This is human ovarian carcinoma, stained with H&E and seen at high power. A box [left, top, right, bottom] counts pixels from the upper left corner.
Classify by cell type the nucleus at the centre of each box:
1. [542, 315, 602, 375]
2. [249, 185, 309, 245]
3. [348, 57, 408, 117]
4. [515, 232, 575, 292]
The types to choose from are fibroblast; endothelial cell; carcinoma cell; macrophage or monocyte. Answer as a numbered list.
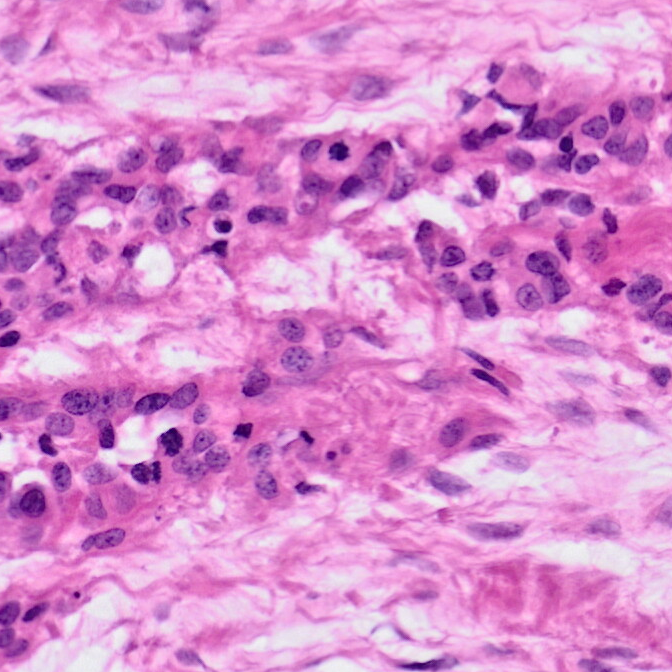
1. fibroblast
2. macrophage or monocyte
3. fibroblast
4. carcinoma cell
